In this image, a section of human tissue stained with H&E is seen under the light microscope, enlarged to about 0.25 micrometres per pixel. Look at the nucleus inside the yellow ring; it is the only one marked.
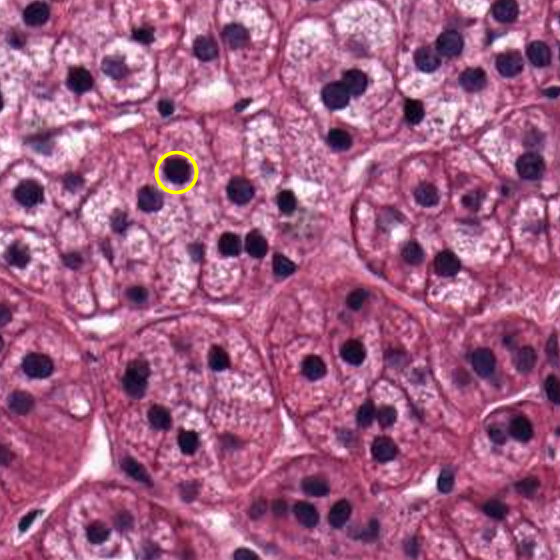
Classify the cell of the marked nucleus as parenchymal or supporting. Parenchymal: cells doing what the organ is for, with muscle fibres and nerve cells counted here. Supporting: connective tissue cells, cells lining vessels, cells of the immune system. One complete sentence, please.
Of the parenchymal cells, the one holding the marked nucleus is an adrenal cortical cell.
